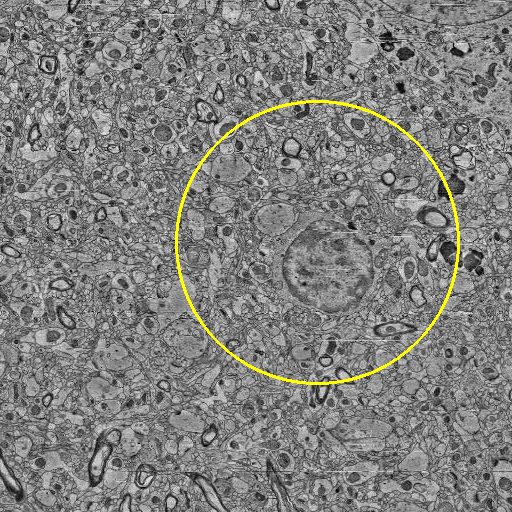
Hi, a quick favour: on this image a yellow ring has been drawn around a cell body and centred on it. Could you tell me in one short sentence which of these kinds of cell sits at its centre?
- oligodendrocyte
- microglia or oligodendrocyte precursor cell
The ring is centred on an oligodendrocyte.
